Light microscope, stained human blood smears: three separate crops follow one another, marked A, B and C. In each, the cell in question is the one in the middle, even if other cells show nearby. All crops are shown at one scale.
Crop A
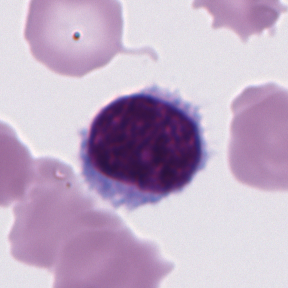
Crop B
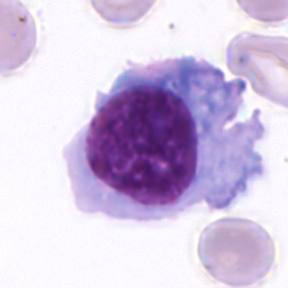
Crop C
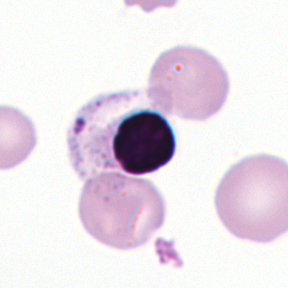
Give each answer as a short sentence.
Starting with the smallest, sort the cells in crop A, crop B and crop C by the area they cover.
Going up, they run C, A, B.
